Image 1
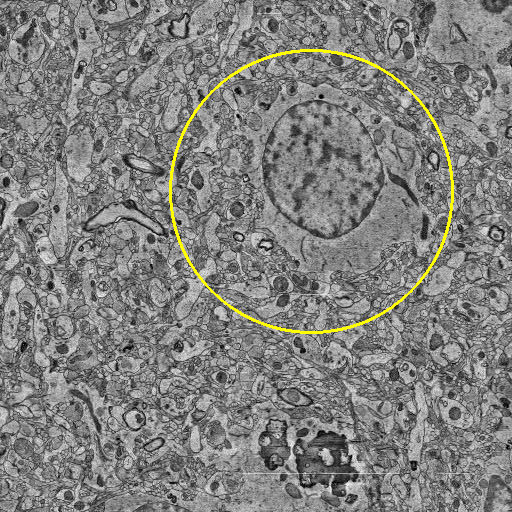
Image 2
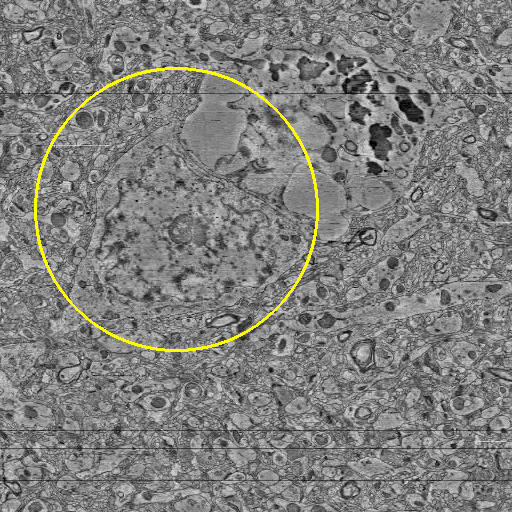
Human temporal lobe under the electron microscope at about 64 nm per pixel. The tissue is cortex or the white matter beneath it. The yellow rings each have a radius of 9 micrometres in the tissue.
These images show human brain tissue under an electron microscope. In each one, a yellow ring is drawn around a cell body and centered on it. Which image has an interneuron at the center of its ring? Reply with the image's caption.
Image 2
